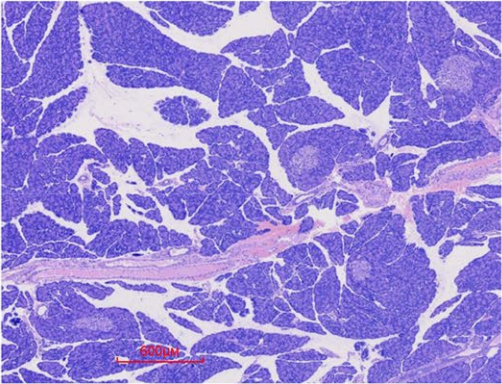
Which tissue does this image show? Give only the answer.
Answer: Pancreatic tissues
